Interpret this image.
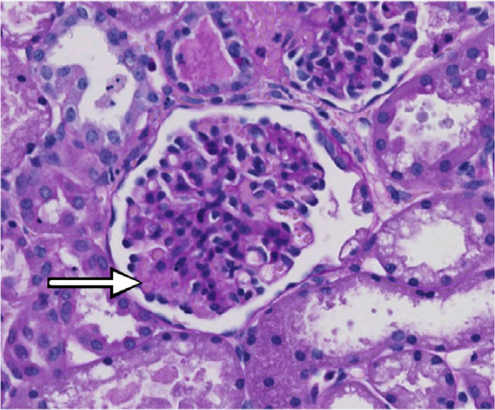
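Renal cortex with a glomerulus in the centre, its tuft densely packed with dark nuclei and surrounded by a clear space within a thin capsule. Around it lie tubules lined by cuboidal epithelial cells with round nuclei and pink, somewhat vacuolated cytoplasm, some with pale, frothy material in the lumen.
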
